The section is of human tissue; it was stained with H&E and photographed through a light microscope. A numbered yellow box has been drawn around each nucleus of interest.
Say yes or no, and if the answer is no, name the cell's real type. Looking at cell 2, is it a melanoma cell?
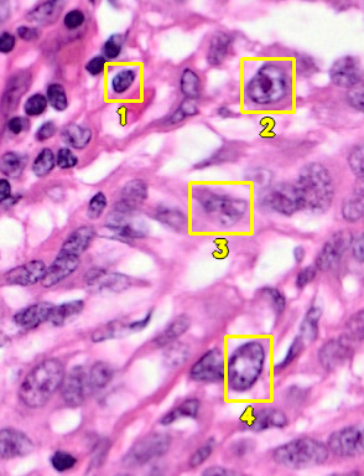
Yes.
